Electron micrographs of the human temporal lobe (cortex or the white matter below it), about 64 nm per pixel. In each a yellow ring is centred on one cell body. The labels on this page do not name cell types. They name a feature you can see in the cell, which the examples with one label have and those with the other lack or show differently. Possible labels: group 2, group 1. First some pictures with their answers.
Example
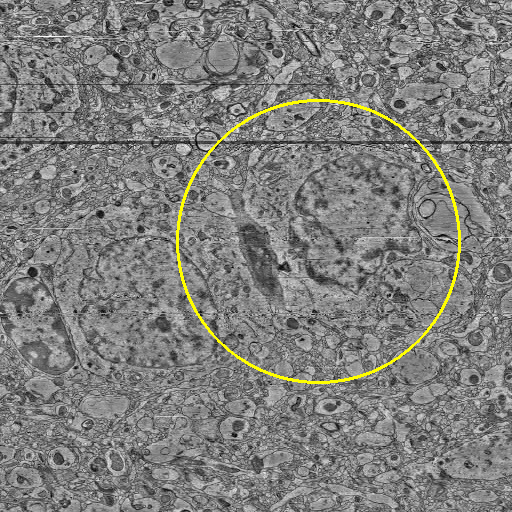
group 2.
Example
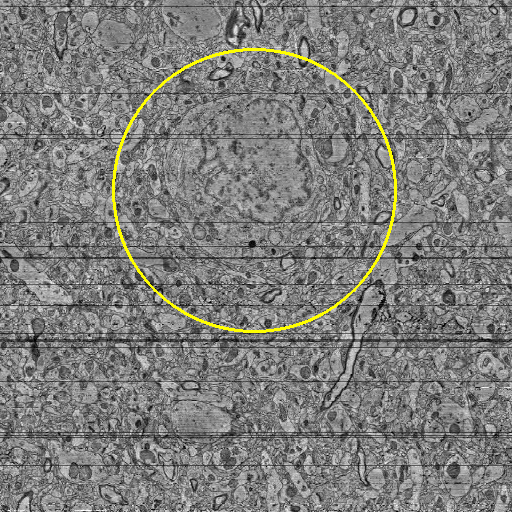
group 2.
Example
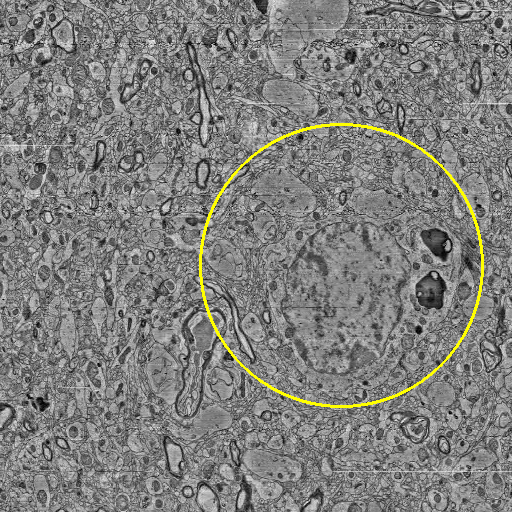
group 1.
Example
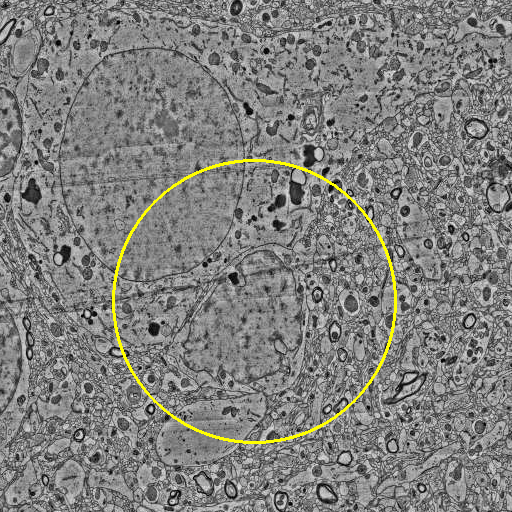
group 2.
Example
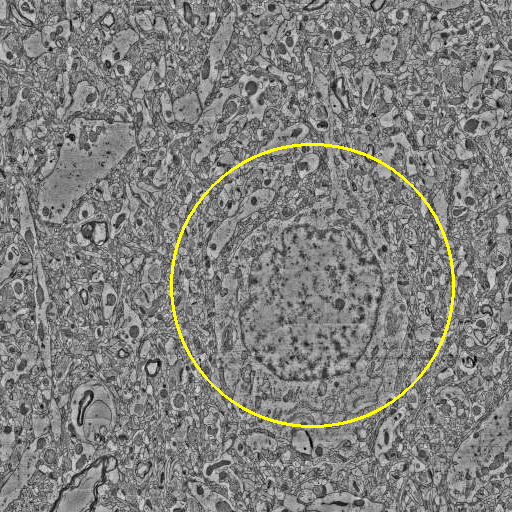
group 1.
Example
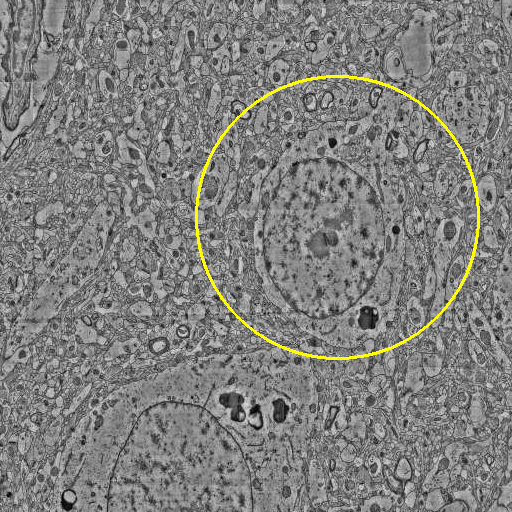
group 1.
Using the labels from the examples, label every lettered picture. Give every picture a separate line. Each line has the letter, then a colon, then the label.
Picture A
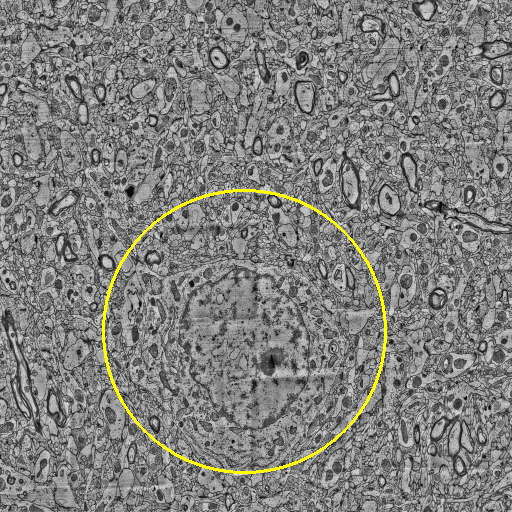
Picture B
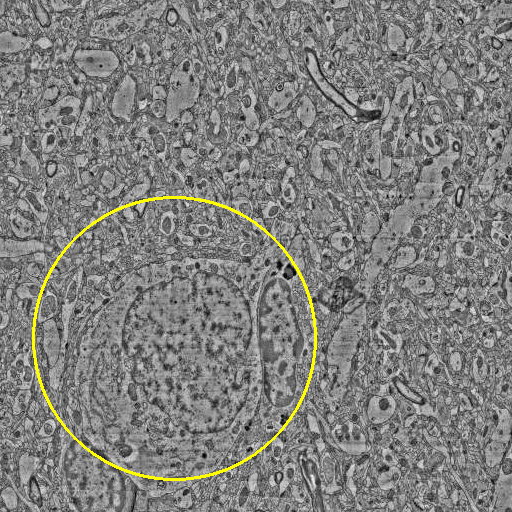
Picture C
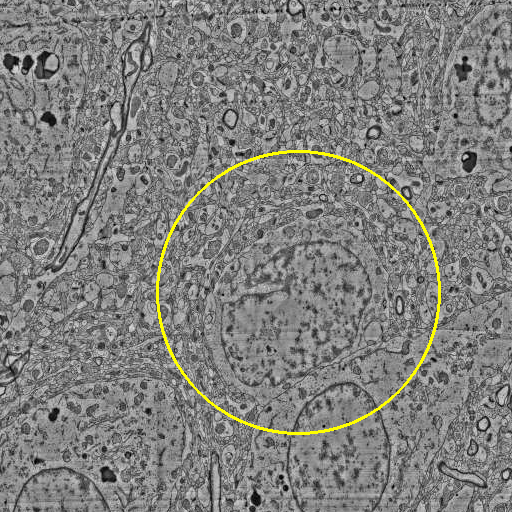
A: group 1.
B: group 1.
C: group 2.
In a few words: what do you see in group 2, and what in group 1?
group 2, deeply folded or indented nuclear envelopes; group 1, smooth nuclear envelopes without deep folds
